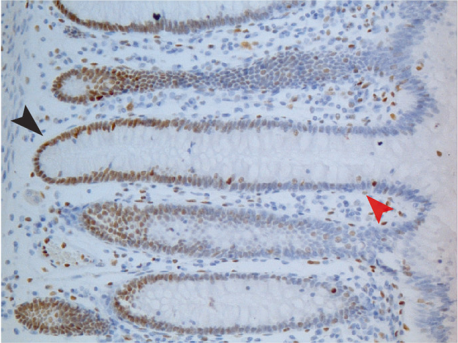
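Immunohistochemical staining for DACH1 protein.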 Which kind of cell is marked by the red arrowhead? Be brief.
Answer: differentiated cells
